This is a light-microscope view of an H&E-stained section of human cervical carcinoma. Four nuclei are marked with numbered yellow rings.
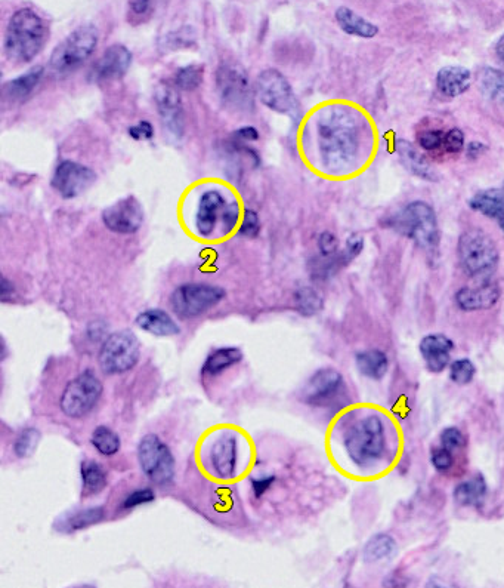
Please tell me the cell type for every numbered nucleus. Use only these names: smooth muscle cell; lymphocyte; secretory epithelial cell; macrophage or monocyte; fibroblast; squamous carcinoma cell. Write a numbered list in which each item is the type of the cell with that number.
1. fibroblast
2. lymphocyte
3. macrophage or monocyte
4. macrophage or monocyte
